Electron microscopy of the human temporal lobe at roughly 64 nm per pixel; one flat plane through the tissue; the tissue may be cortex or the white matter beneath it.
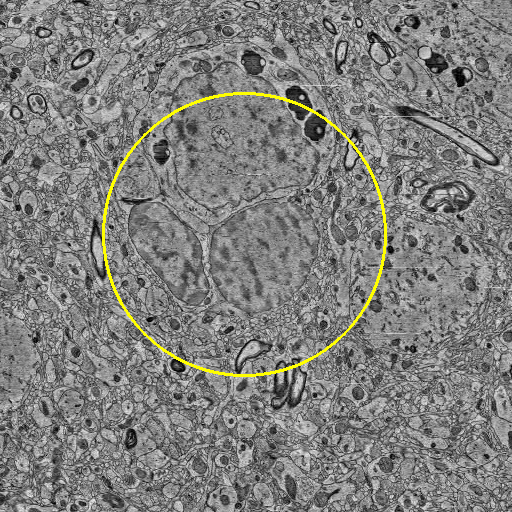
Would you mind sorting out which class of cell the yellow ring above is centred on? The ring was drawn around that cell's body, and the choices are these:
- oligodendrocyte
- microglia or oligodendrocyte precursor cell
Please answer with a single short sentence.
This is the cell body of an oligodendrocyte.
